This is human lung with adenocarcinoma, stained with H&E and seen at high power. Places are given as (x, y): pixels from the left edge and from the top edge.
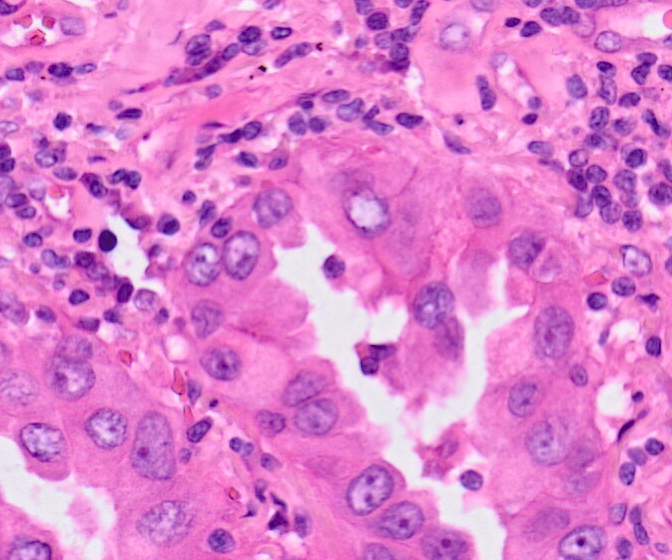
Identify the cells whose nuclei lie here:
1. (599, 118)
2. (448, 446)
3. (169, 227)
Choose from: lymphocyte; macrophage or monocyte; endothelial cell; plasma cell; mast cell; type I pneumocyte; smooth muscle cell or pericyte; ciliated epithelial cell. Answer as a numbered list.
1. lymphocyte
2. macrophage or monocyte
3. lymphocyte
